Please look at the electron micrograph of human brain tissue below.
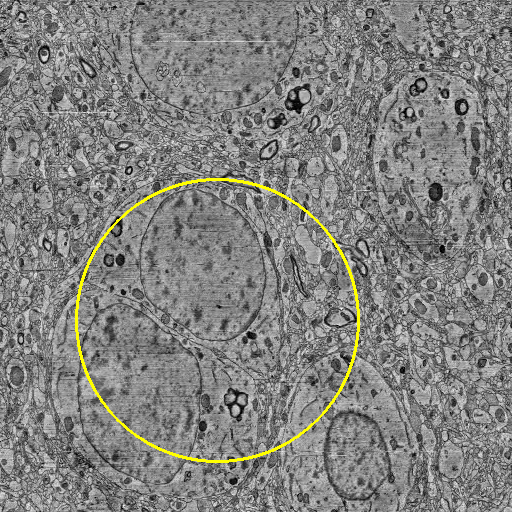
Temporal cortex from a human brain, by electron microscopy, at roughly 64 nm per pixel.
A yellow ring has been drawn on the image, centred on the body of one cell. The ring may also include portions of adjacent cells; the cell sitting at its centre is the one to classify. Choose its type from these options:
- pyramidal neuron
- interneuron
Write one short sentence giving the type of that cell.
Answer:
The cell in the middle of the ring is a pyramidal neuron.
